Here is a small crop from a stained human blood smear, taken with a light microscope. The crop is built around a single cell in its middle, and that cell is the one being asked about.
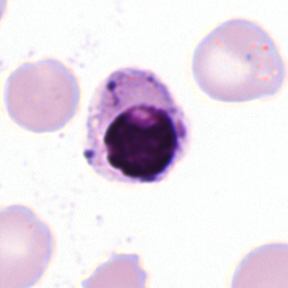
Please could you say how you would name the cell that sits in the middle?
normoblast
